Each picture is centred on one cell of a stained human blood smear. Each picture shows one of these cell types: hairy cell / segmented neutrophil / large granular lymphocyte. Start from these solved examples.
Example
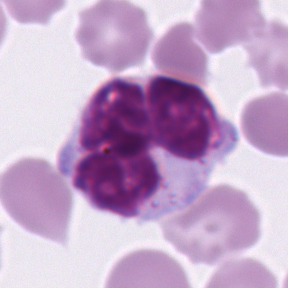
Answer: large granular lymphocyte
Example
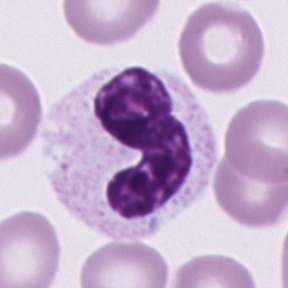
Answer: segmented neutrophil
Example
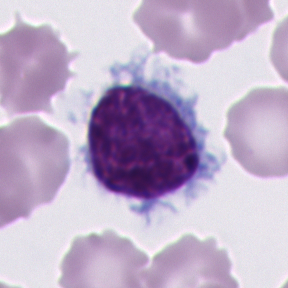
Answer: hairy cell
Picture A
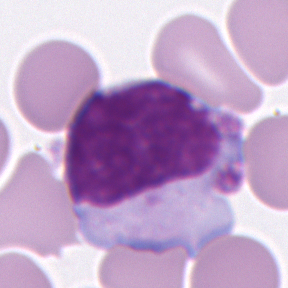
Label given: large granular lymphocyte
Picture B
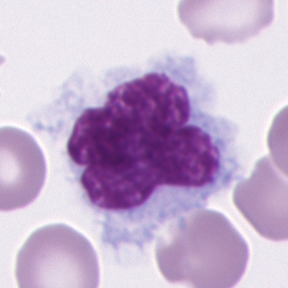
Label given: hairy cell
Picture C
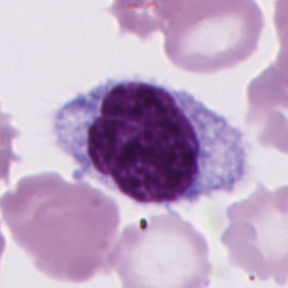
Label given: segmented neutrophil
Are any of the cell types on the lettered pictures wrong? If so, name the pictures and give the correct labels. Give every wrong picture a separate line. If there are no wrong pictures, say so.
C is labelled segmented neutrophil; correct label: hairy cell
